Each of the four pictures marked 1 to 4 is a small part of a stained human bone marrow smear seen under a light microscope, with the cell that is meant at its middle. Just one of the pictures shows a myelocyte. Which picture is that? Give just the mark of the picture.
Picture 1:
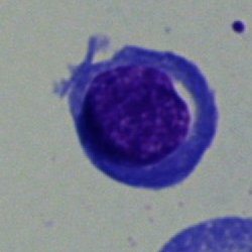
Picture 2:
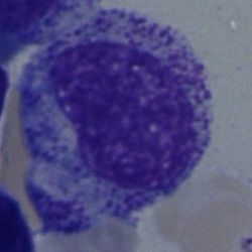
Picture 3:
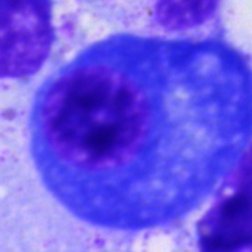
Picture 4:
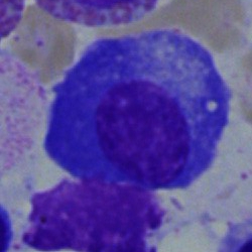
2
